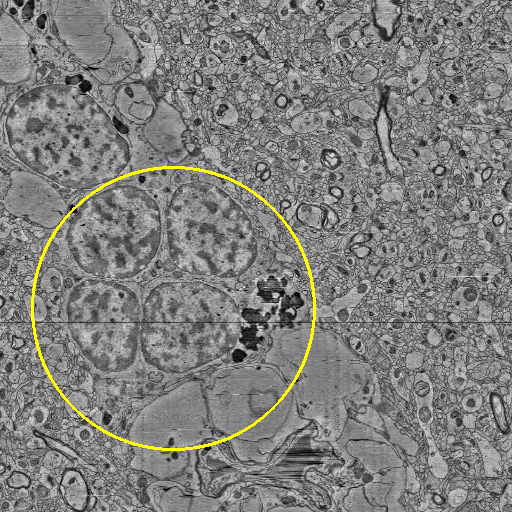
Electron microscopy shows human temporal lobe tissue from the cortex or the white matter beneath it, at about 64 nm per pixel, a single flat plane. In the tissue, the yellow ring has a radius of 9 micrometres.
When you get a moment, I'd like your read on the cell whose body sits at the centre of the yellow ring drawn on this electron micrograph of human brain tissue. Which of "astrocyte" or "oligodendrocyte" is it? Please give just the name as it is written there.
oligodendrocyte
